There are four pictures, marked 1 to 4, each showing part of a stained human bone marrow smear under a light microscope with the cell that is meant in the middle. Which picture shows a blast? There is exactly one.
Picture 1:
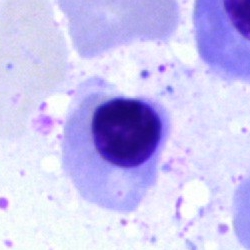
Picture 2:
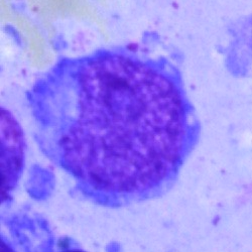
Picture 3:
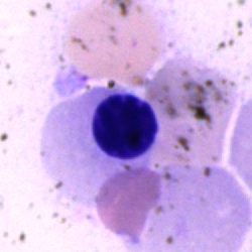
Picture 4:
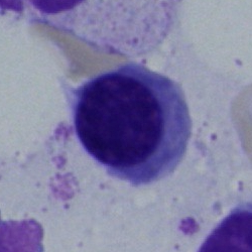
2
